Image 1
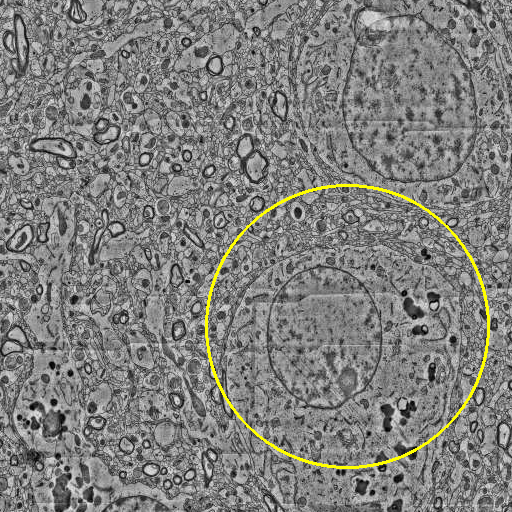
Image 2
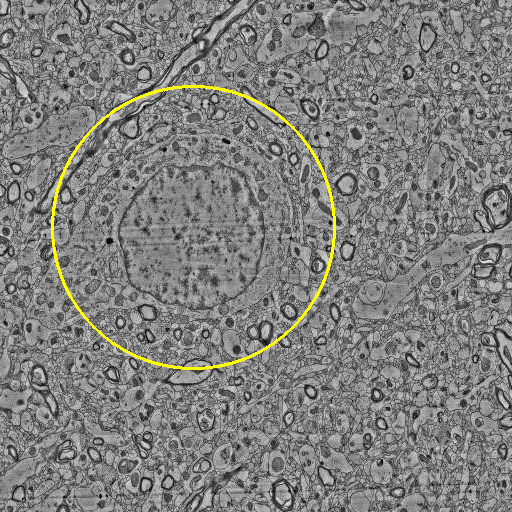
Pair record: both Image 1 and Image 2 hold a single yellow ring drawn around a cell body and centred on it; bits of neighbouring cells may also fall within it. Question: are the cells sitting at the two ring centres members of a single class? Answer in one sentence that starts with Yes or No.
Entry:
No, the ring-centre cells in Image 1 and Image 2 come from two classes.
